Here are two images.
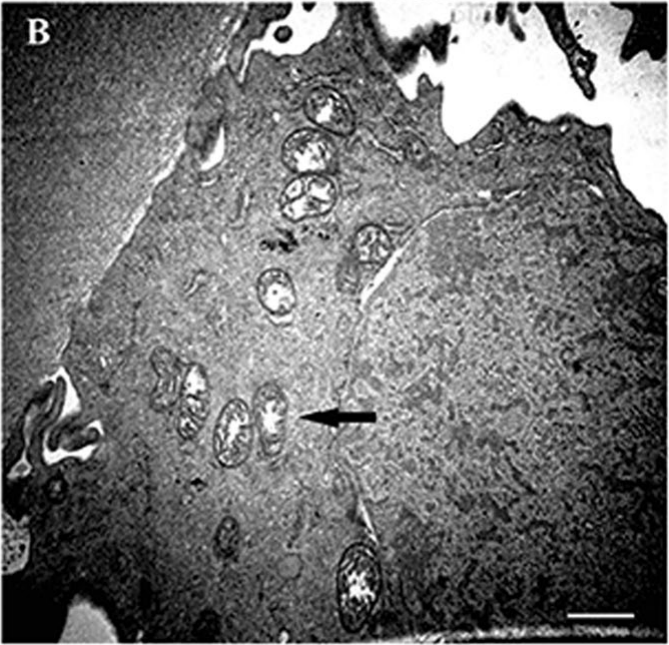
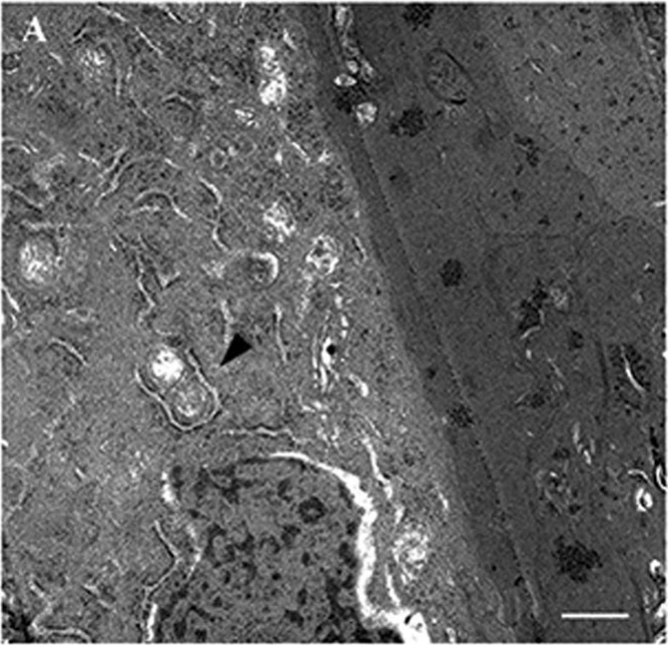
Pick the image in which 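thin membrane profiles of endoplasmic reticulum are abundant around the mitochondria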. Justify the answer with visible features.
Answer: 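First image: few slender membrane profiles lie beside the row of oval mitochondria. Second image: many thin curved membrane profiles are scattered through the cytoplasm and around the mitochondria. That points to this answer: the second image.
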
